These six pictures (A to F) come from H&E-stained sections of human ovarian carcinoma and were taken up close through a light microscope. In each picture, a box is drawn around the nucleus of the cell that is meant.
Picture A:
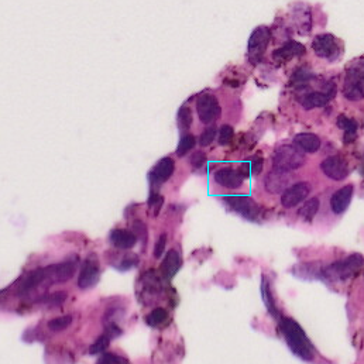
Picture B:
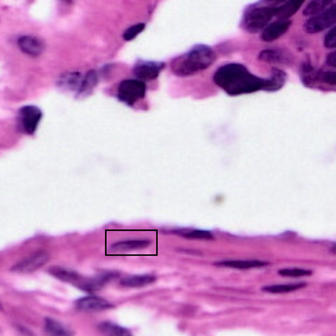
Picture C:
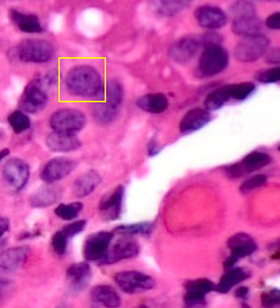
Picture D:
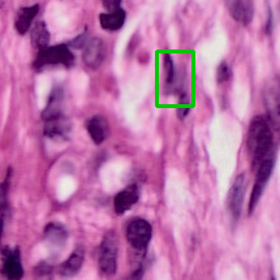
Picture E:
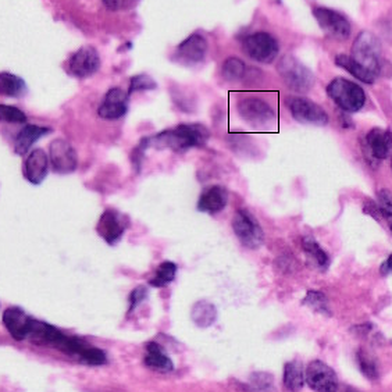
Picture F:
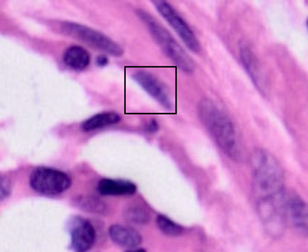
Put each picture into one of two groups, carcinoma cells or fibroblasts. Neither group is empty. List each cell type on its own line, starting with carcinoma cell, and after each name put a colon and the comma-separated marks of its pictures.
carcinoma cell: A, C, E
fibroblast: B, D, F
